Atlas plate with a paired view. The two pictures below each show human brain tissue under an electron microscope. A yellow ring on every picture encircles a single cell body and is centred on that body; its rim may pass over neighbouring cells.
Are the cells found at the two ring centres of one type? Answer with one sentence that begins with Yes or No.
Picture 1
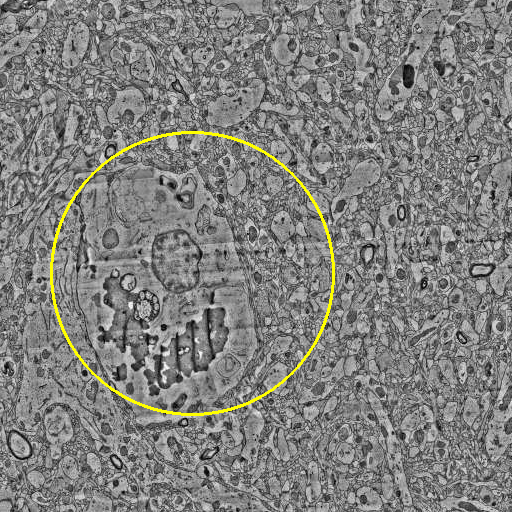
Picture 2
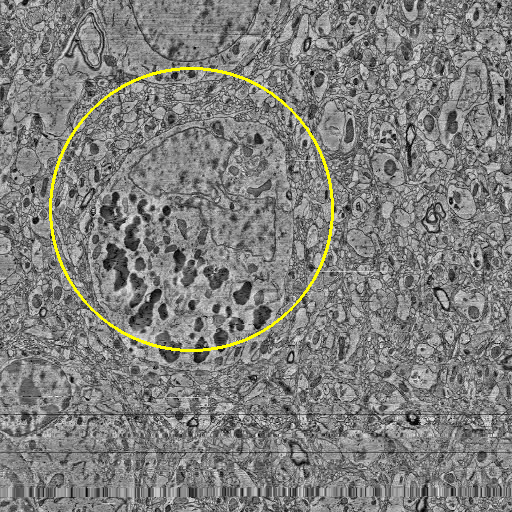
No, the two cells lying at the centres of the rings are of two types.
